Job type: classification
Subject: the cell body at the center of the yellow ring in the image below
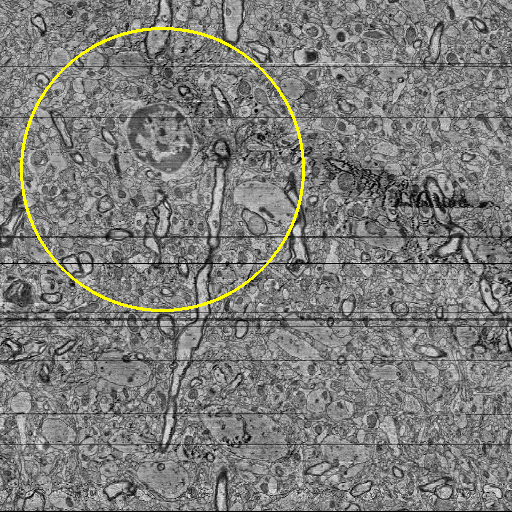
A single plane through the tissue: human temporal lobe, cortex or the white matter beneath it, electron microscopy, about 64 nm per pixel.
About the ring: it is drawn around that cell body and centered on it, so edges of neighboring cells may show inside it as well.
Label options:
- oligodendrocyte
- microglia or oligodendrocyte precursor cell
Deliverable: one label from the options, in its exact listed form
microglia or oligodendrocyte precursor cell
